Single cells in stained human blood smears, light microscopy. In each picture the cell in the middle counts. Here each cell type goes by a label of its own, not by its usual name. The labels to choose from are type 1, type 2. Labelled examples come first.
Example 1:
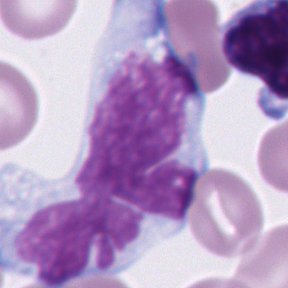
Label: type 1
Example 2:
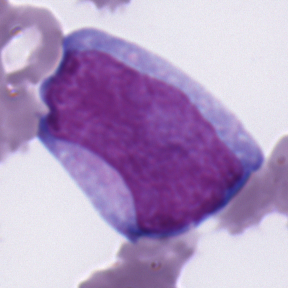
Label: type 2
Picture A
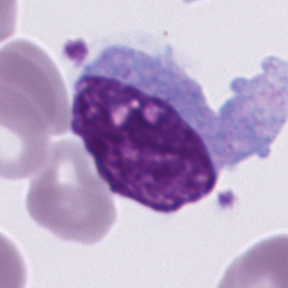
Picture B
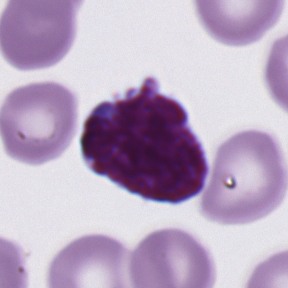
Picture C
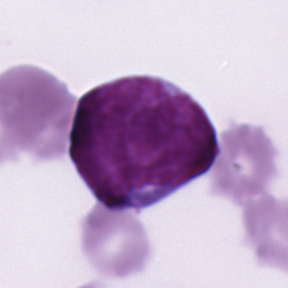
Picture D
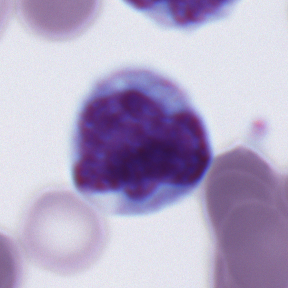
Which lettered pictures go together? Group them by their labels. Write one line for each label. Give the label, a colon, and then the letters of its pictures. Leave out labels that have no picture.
type 1: A, D
type 2: B, C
